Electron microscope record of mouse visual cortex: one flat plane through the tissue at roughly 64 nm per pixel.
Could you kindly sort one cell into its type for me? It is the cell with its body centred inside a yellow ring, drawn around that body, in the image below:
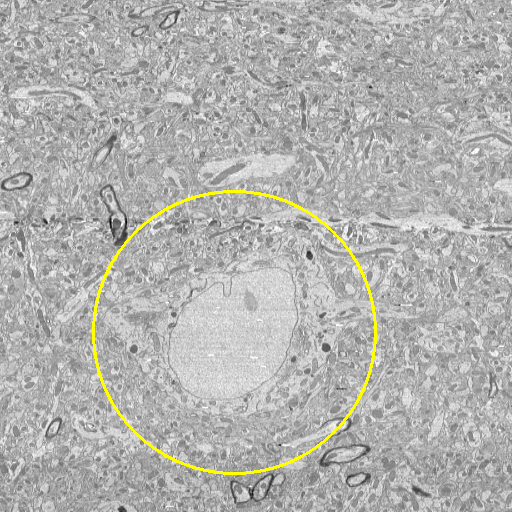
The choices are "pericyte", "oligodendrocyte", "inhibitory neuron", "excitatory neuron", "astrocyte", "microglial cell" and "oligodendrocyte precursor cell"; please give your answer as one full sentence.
The cell whose body lies centred in the yellow ring here is an excitatory neuron.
